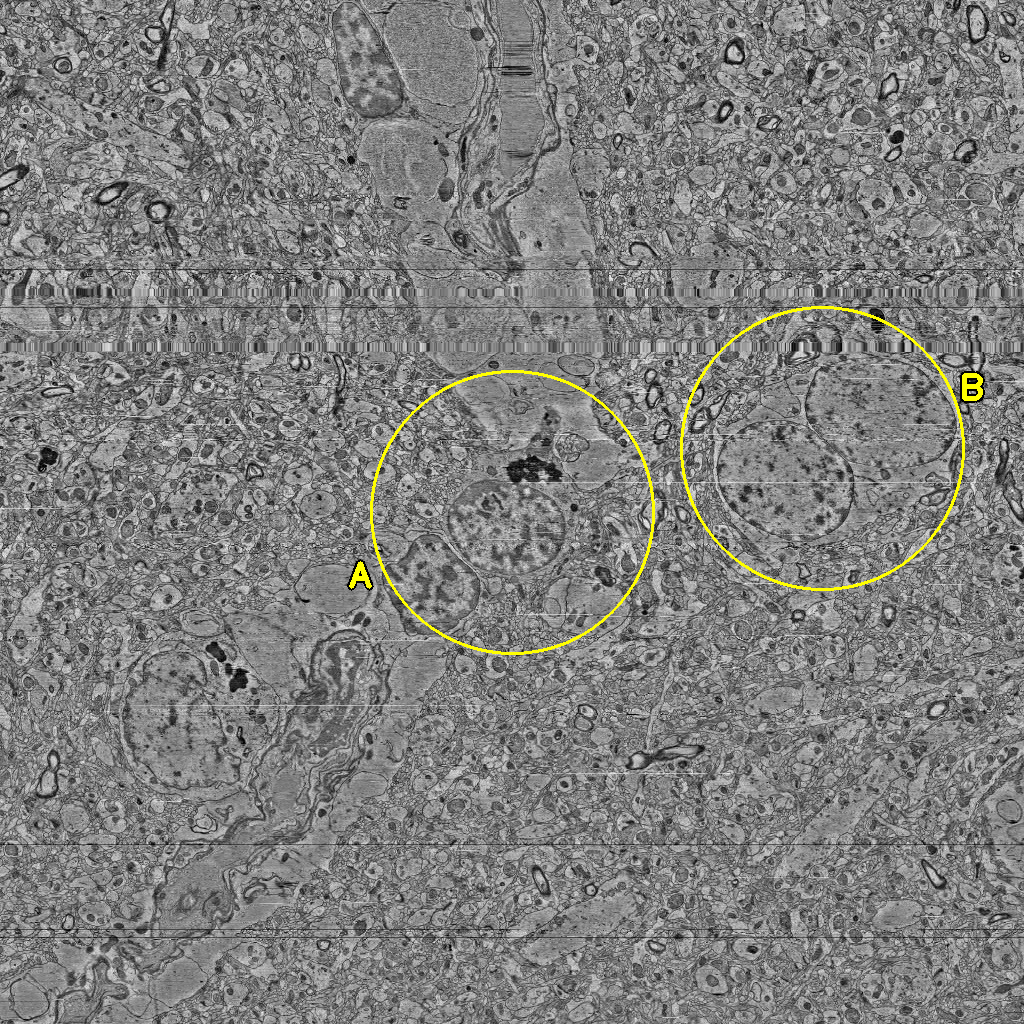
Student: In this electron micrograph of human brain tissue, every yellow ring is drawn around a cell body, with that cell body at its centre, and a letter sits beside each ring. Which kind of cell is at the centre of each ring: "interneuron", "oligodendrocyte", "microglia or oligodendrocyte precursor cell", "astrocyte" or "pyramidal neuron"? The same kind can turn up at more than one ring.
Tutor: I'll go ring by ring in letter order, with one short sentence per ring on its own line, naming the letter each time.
Ring A: the cell at its centre is an oligodendrocyte.
Ring B: the cell at its centre is an astrocyte.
